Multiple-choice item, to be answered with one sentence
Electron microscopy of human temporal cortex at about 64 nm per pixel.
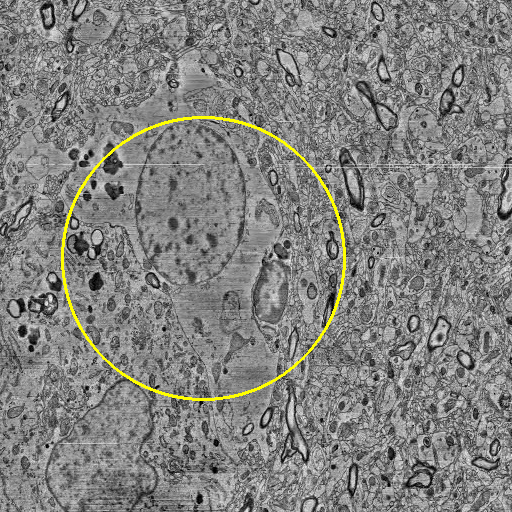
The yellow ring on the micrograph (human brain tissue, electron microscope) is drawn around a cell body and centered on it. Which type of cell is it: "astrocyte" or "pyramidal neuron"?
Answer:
The ring is centered on an astrocyte.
